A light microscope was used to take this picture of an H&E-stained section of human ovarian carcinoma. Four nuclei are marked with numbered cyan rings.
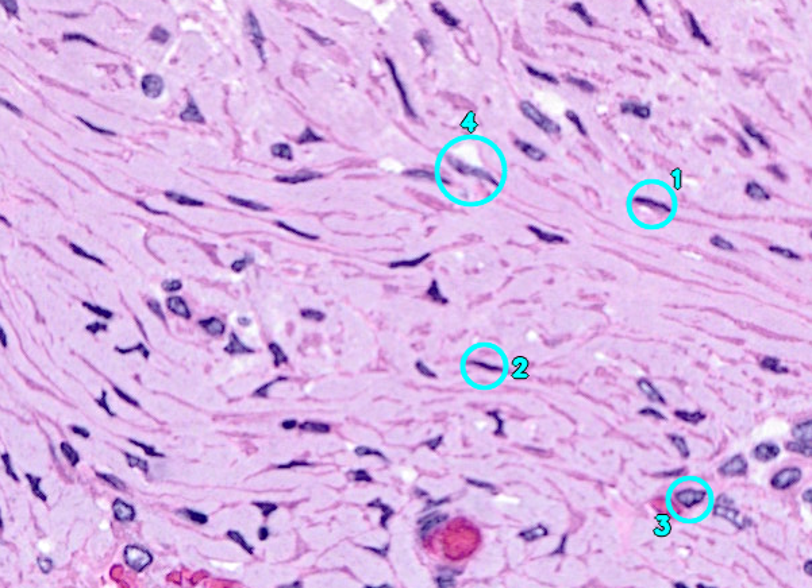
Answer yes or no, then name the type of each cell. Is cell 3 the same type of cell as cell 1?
No, just to clarify, cell 3 is an endothelial cell and cell 1 is a fibroblast.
